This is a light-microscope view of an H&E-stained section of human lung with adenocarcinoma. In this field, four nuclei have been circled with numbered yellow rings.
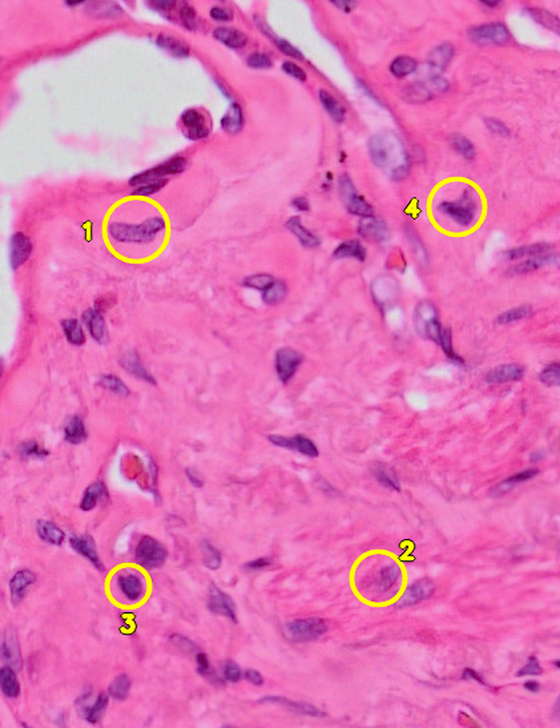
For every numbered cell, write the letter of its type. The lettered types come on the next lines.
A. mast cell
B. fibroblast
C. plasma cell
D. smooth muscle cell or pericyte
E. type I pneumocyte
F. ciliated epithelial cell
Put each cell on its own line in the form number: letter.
1: B
2: D
3: A
4: B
